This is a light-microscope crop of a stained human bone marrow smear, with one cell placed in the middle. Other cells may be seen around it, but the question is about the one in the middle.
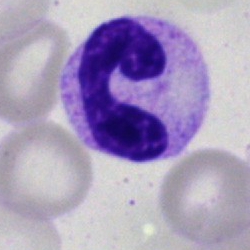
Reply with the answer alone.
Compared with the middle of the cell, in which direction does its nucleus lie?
left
